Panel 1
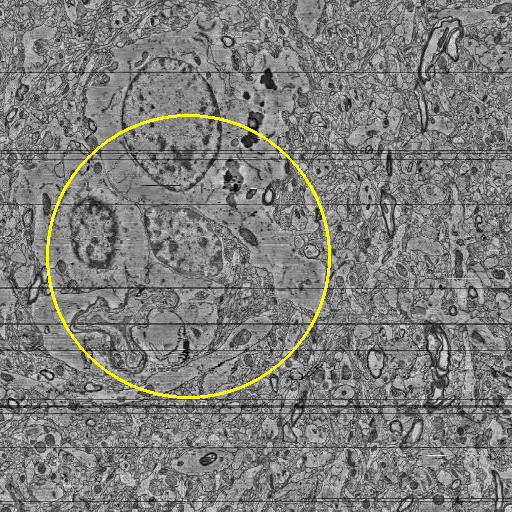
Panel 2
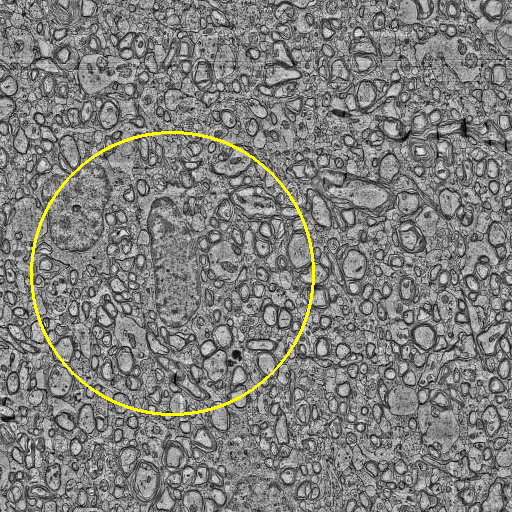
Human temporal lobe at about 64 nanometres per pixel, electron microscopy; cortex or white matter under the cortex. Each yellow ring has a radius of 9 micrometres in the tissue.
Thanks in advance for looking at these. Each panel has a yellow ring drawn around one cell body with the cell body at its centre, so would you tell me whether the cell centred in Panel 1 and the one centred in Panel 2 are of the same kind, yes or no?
yes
